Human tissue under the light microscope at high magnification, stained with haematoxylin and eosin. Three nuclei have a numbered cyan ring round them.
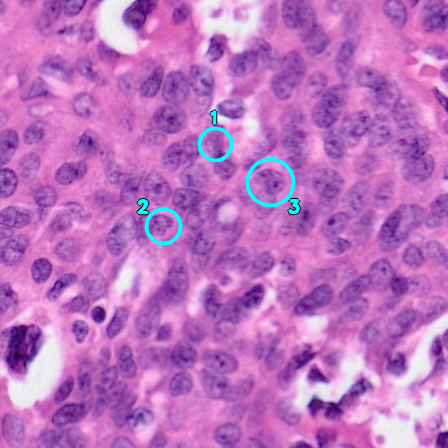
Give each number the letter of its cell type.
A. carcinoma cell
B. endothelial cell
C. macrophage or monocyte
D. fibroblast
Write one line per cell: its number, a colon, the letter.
1: A
2: C
3: C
